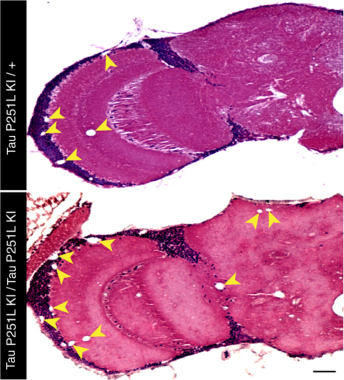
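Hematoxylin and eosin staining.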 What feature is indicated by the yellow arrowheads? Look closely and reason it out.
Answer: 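The yellow arrowheads point to round, clear, empty holes in the tissue. The holes lie mostly in the darkly stained rim and in the pink neuropil.
Brain vacuoles.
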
